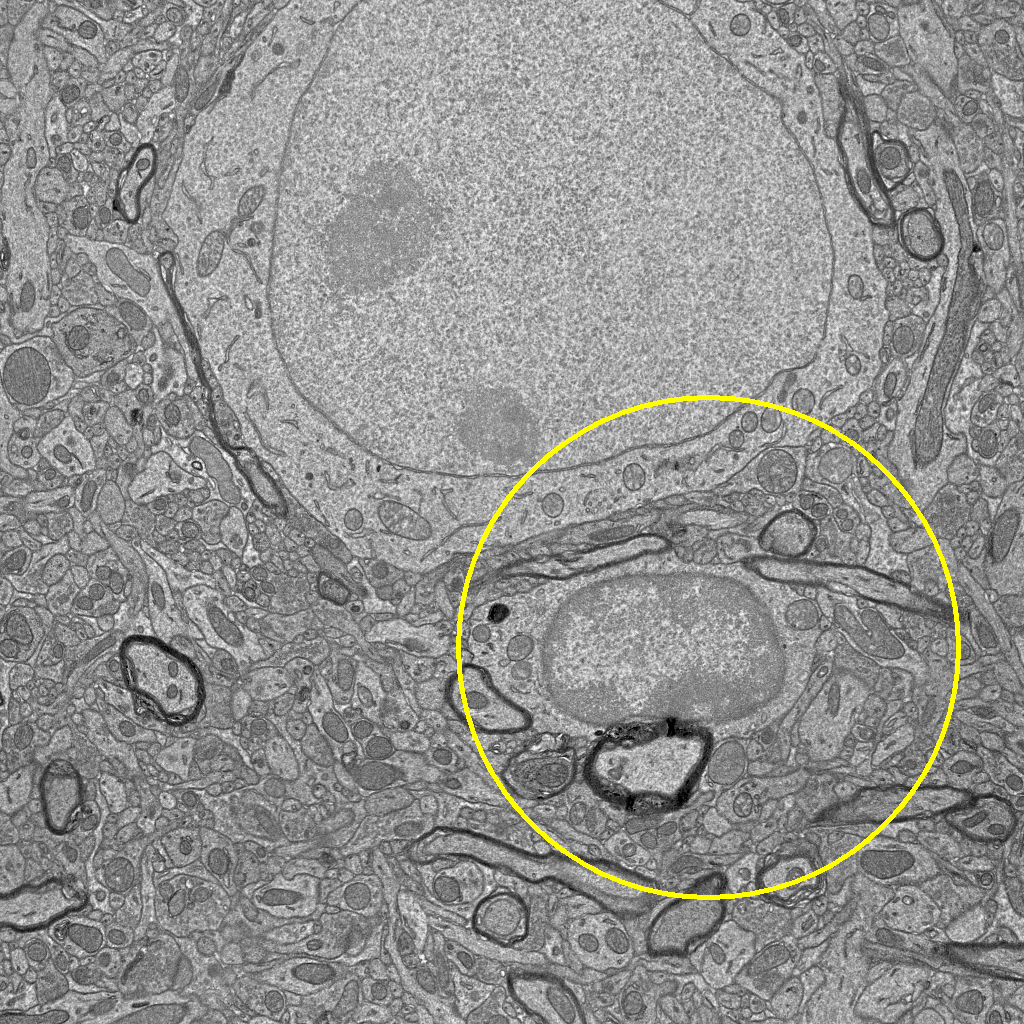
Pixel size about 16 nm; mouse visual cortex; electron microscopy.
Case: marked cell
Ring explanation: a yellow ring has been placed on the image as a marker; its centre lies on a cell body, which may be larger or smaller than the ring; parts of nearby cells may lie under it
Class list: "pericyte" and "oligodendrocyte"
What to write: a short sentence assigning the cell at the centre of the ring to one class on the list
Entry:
The cell at the ring's centre is an oligodendrocyte.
